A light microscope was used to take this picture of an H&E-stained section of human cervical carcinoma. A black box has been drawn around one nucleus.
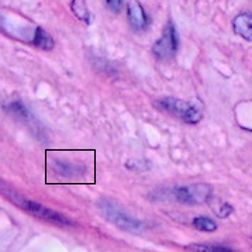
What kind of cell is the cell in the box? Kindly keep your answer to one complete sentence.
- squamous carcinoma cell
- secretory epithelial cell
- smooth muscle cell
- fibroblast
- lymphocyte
Speaking plainly, the cell in the box is nothing other than a smooth muscle cell.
